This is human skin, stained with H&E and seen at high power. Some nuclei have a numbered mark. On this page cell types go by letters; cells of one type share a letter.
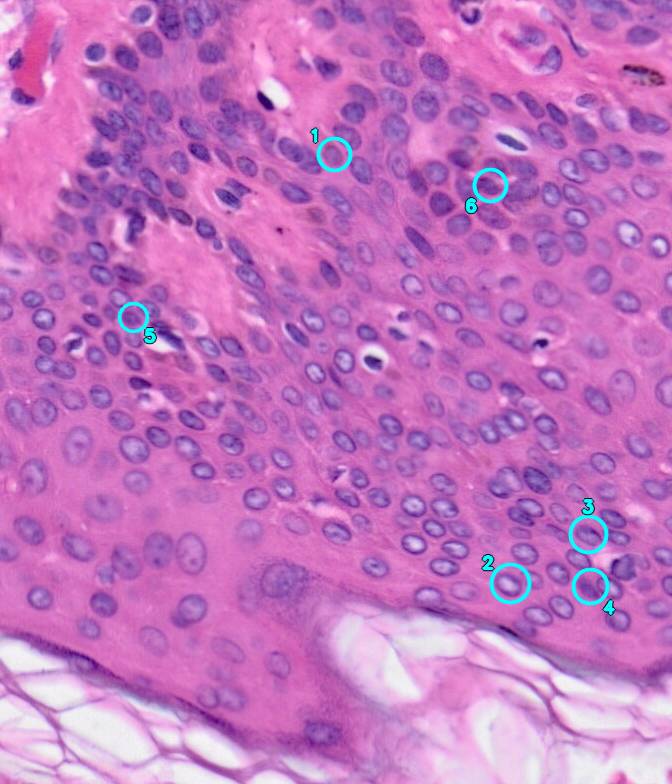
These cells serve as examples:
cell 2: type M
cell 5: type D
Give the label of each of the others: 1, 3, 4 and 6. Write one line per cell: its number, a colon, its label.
1: type D
3: type M
4: type M
6: type D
